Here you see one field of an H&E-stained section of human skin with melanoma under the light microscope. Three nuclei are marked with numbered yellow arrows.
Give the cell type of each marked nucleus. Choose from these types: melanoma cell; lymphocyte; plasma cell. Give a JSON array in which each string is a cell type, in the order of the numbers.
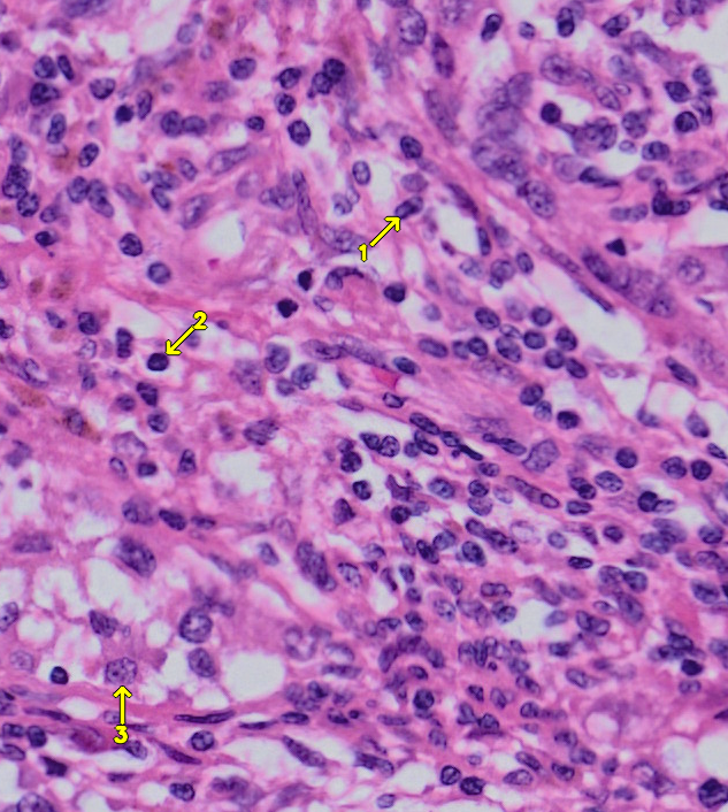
["lymphocyte", "lymphocyte", "melanoma cell"]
